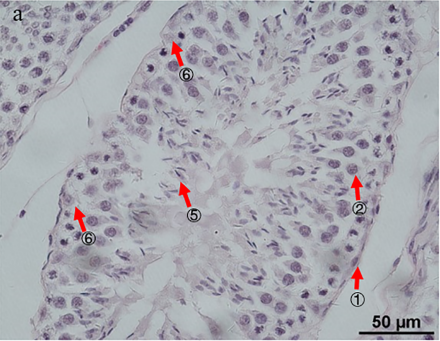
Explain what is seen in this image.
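This is a seminiferous tubule of the testis in cross section, lined by layers of germ cells with supporting cells among them. Toward the central lumen the cells become smaller, and small dark elongated heads lie near the lumen. Outside the tubule the interstitial space is pale and loosely filled.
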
